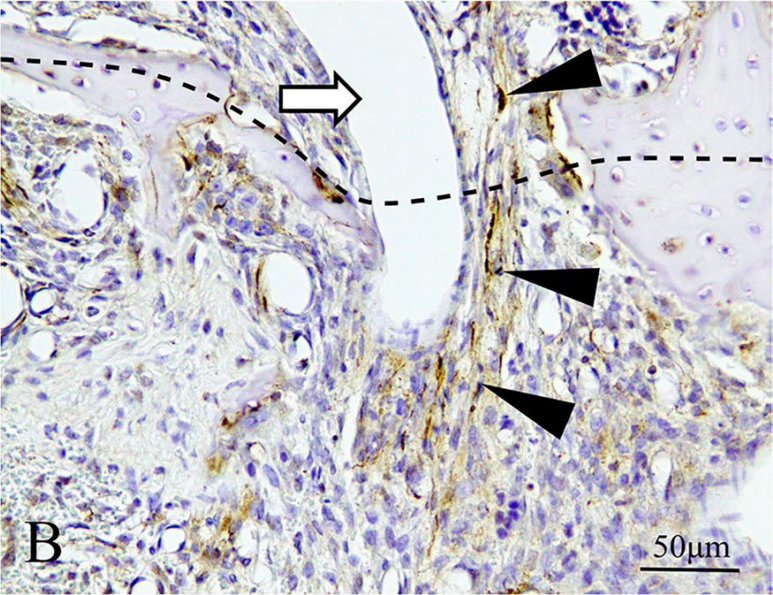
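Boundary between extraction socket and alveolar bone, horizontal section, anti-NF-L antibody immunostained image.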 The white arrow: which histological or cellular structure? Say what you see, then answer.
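The white arrow points to a large clear, empty lumen. The lumen is lined by a thin wall of flattened cells. That points to this answer: blood vessel.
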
